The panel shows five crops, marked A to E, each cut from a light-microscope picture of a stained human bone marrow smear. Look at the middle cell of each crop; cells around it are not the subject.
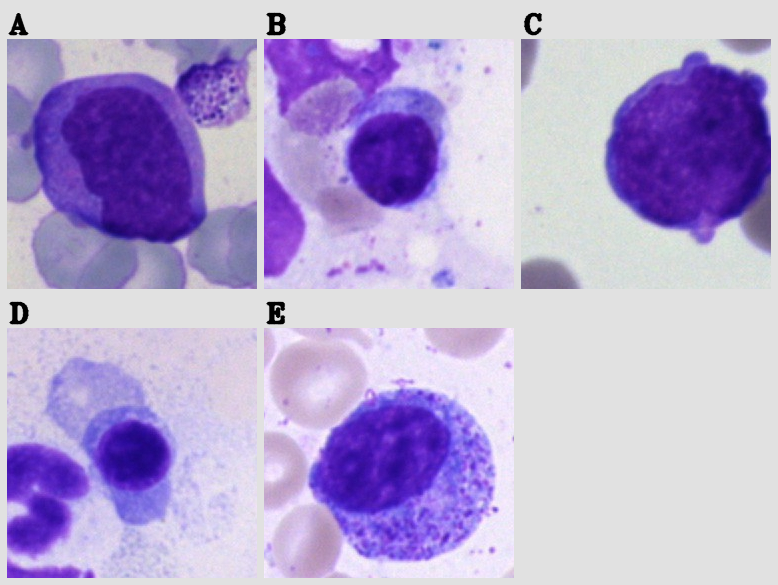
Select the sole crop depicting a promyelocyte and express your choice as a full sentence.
As for which crop shows a promyelocyte, it is crop E.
